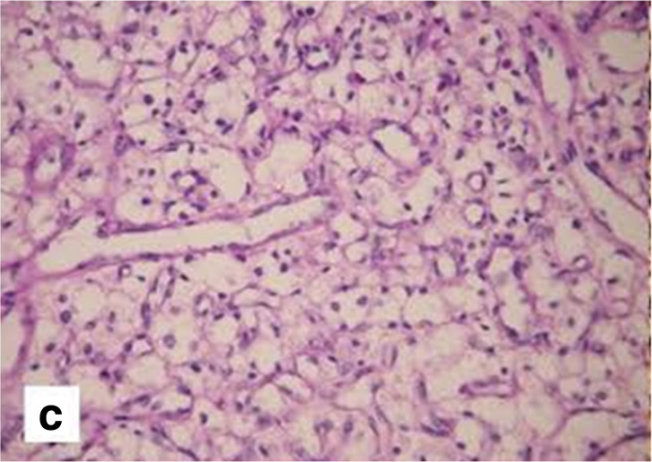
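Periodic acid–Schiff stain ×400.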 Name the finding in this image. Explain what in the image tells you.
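Vacuolated and wide cytoplasm. Many cells have large, pale, bubbly cytoplasm. Small dark nuclei sit within broad clear cytoplasm.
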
